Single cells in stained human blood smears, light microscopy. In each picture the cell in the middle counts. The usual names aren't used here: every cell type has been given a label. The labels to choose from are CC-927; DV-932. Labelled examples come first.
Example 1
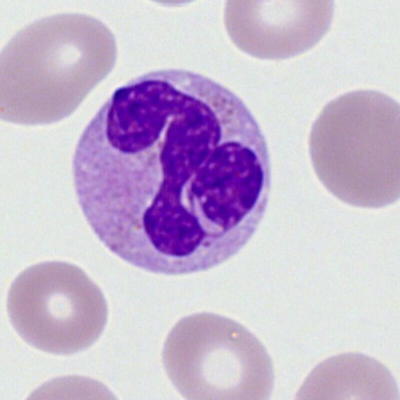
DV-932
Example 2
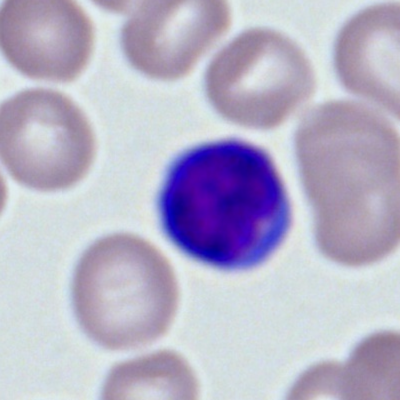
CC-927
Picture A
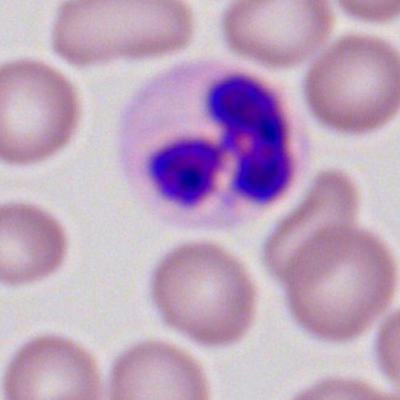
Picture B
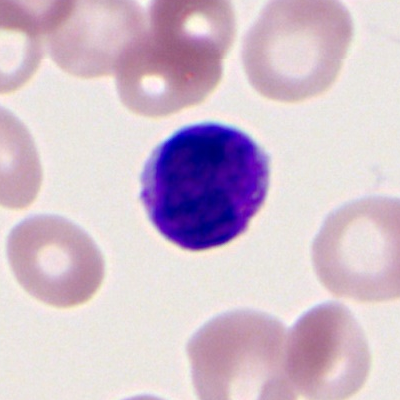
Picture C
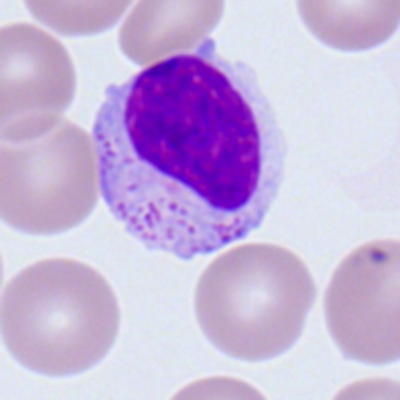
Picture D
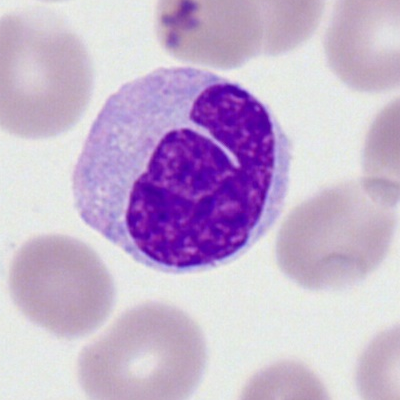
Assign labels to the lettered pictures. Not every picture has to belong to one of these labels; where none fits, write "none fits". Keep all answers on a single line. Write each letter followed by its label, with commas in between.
A DV-932, B CC-927, C CC-927, D none fits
